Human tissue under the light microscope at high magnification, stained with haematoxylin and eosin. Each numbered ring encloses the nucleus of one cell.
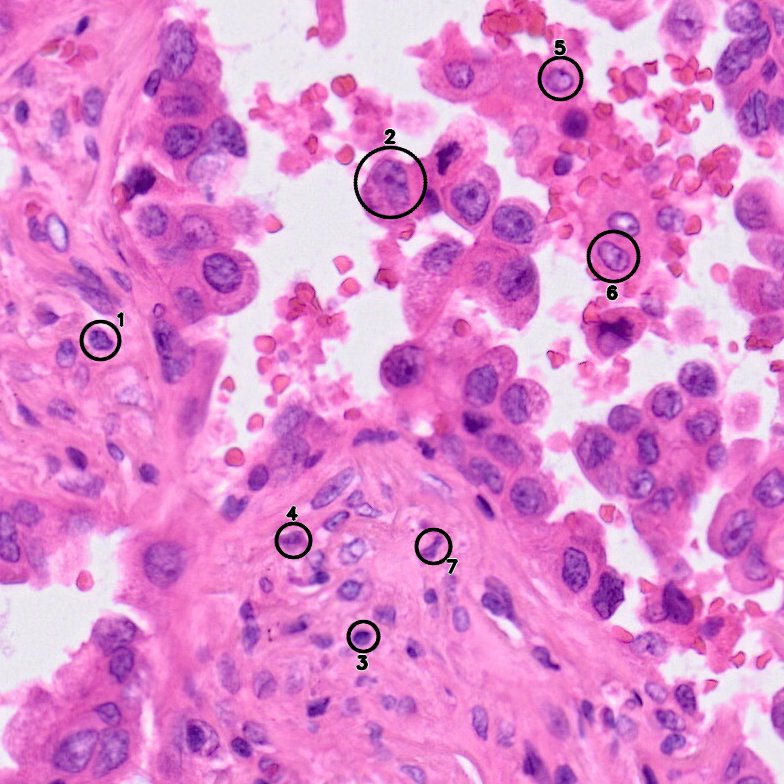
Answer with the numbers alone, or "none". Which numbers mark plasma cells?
4, 7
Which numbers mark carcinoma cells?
2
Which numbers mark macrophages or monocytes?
5, 6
